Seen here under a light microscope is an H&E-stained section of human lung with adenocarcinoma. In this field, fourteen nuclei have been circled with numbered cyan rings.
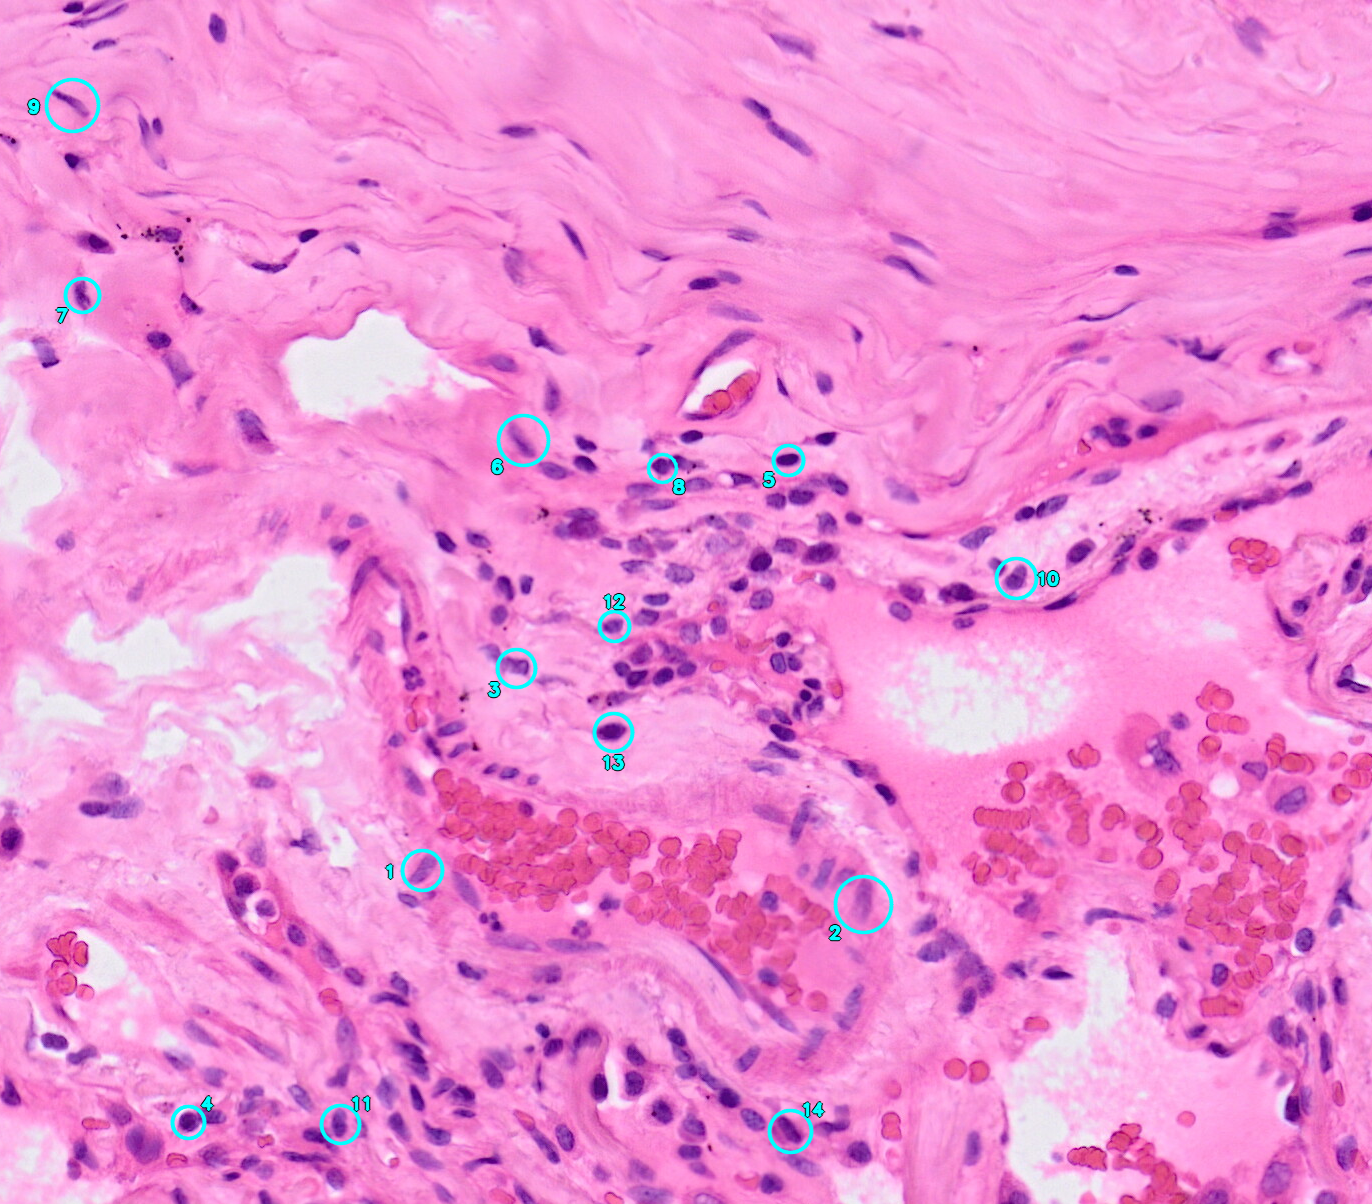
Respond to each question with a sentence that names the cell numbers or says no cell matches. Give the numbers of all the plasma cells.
The cells with numbers 13 and 14 are plasma cells by type.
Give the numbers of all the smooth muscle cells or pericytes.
The cells numbered 1 and 2 are identified as smooth muscle cells or pericytes.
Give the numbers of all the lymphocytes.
The cells numbered 4, 5, 8, 10, 11 and 12 are of the kind known as lymphocytes.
